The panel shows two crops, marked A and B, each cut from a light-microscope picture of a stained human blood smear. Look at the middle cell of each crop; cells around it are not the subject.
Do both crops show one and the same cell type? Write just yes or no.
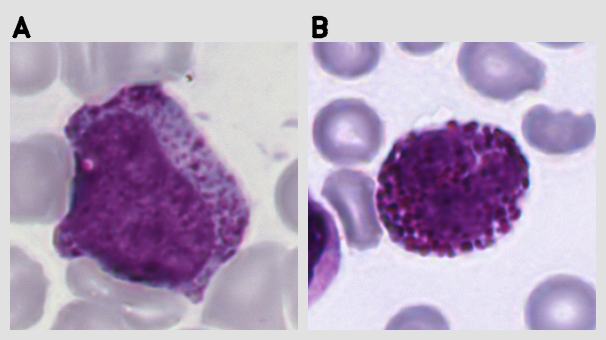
no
